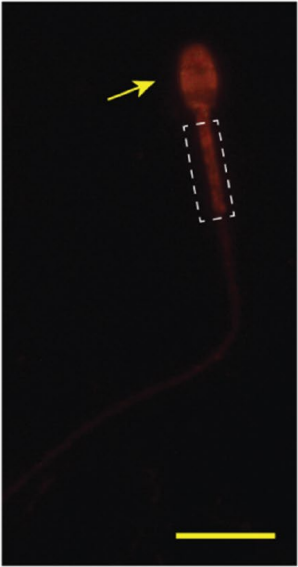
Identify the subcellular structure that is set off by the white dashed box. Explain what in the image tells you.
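Mid-piece. The box encloses the thickened segment of the tail just behind the head. This segment is brighter red than the thin tail that follows.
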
